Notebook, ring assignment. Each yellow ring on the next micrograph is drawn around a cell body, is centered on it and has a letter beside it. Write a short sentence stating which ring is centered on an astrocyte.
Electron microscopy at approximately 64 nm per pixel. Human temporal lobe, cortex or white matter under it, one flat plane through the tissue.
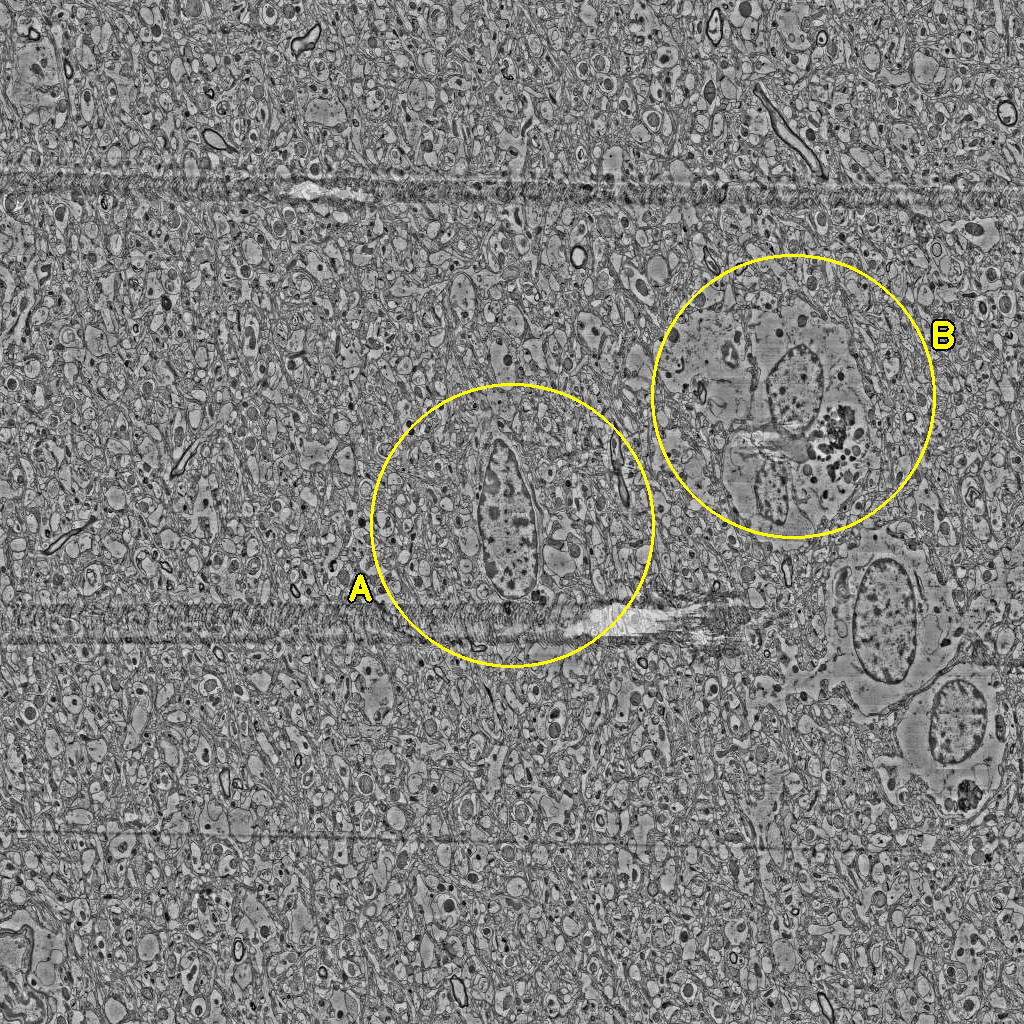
Ring B is centered on it.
